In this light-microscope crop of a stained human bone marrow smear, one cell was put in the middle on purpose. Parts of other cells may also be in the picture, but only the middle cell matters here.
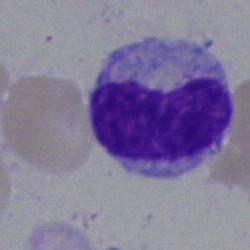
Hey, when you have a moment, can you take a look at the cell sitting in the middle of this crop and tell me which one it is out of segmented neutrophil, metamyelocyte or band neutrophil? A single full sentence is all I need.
The cell marked by its central position in the crop is a metamyelocyte.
